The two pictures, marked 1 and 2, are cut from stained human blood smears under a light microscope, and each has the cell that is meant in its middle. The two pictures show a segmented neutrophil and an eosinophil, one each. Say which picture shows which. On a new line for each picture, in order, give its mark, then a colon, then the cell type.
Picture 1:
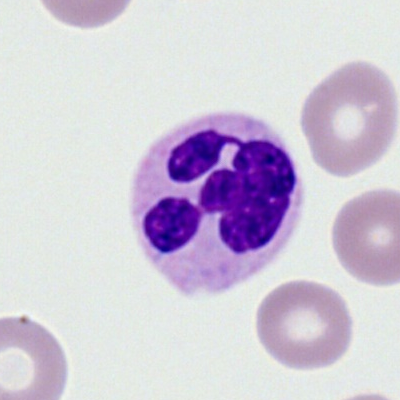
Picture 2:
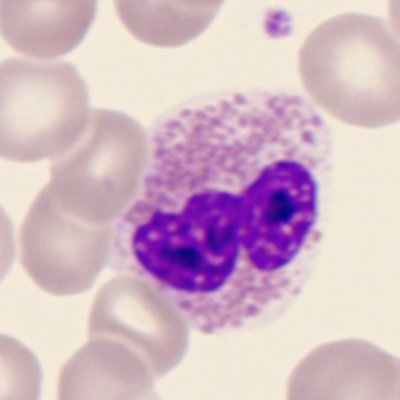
1: segmented neutrophil
2: eosinophil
